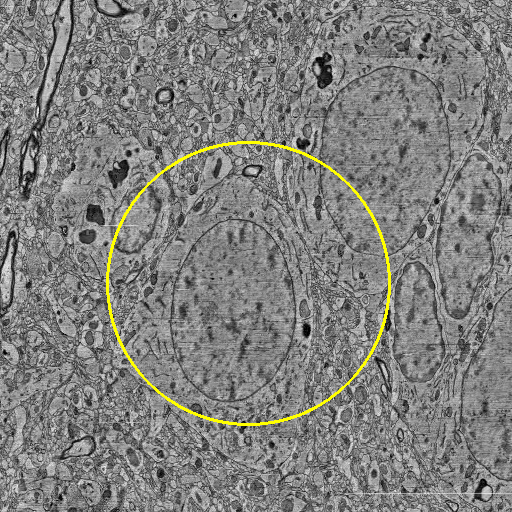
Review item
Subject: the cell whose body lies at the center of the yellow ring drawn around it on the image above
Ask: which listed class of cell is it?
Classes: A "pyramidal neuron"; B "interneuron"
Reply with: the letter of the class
A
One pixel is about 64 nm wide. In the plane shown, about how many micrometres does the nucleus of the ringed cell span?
About 12 by 8 micrometers; the nucleus is clearly longer than it is wide in this plane.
